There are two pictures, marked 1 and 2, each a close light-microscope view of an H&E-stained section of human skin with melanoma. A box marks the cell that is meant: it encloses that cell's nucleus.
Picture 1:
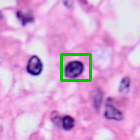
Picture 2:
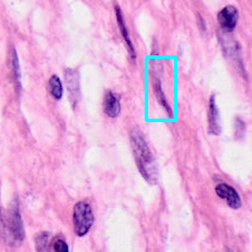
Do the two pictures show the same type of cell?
no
